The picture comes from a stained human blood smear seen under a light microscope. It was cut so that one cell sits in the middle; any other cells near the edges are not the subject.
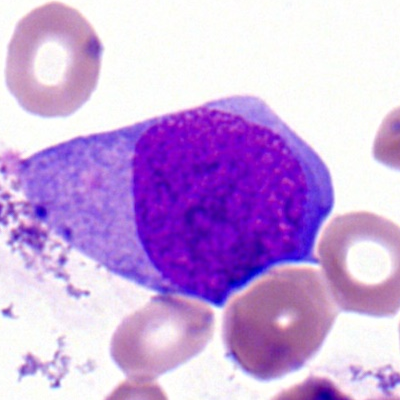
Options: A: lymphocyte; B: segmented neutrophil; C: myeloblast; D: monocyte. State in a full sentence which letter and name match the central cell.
The one cell at the centre is a myeloblast, as correctly stated in option C.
